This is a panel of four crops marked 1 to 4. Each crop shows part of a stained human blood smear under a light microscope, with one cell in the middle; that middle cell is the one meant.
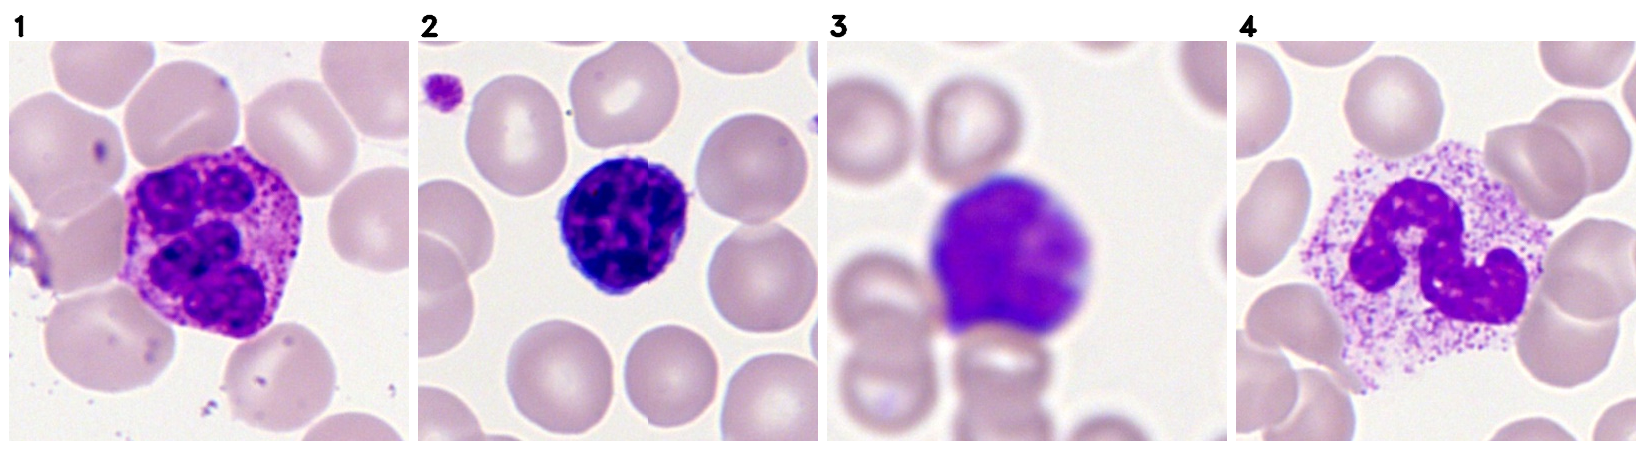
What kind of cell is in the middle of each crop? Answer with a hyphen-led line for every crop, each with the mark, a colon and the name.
- 1: basophil
- 2: lymphocyte
- 3: myeloblast
- 4: band neutrophil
